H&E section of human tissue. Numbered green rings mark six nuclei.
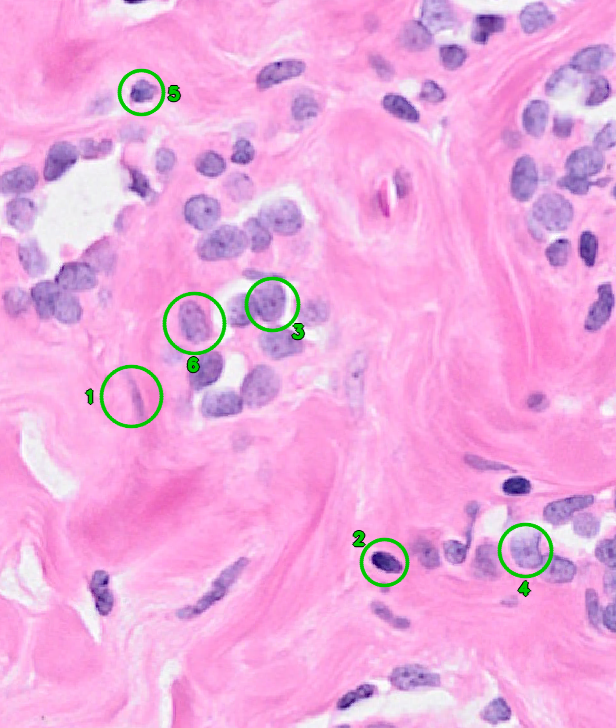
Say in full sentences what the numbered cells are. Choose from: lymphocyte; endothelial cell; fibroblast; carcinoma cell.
Cell 1 is a fibroblast, cell 2 is a lymphocyte, cell 3 is a carcinoma cell, cell 4 is a carcinoma cell, cell 5 is a lymphocyte and cell 6 is a carcinoma cell.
